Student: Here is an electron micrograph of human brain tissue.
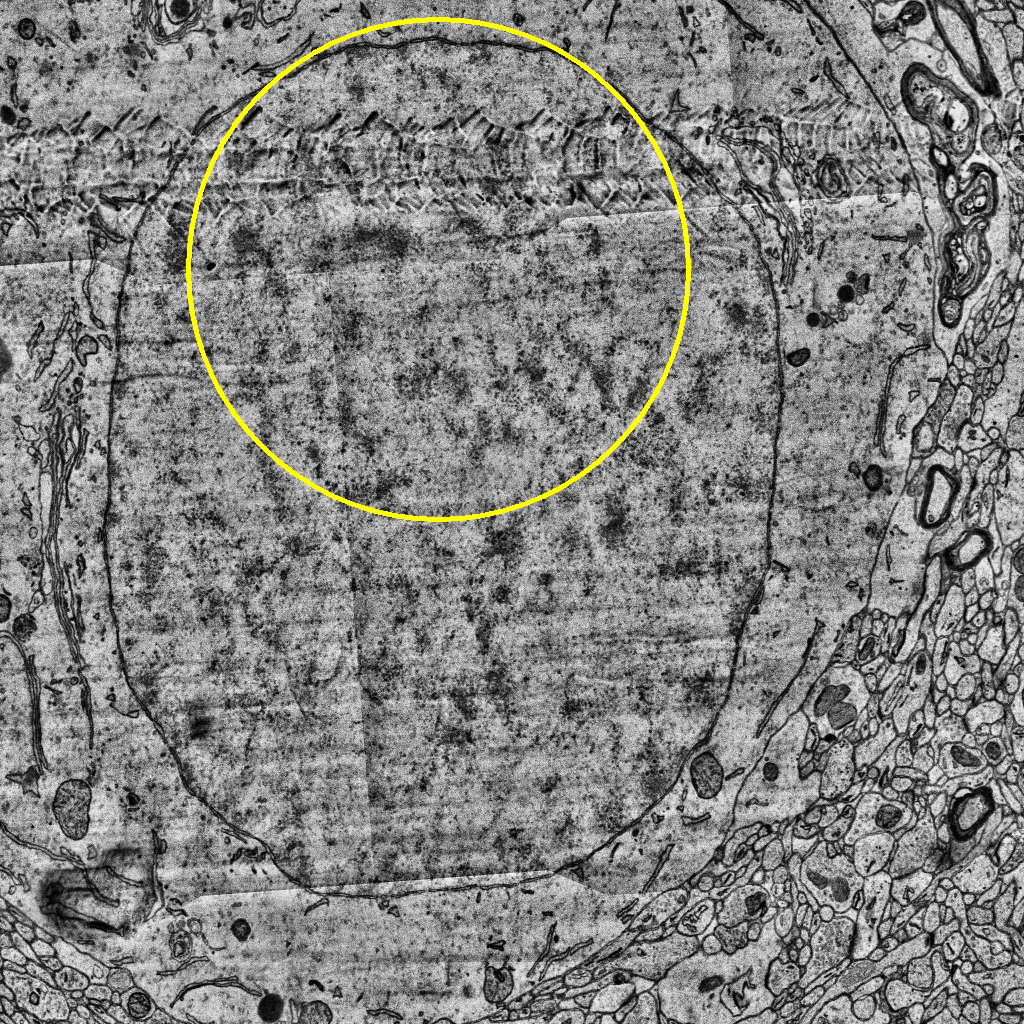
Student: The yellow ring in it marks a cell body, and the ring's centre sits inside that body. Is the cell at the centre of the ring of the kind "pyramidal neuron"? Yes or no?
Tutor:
yes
